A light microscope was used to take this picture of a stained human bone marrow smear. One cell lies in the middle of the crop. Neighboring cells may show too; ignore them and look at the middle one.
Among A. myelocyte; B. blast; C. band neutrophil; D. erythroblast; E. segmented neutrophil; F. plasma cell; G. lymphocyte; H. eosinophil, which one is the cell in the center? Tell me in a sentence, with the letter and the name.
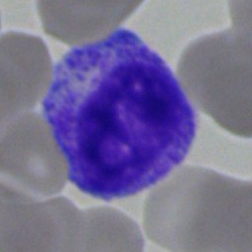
The correct option, A, names the middle cell as a myelocyte.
